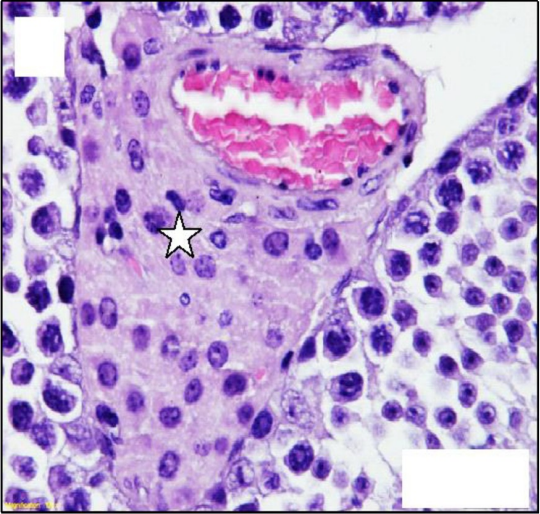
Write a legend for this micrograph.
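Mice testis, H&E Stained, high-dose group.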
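The space between seminiferous tubules is filled with a large cluster of interstitial cells lying beside a blood vessel. The interstitial cells are polygonal, with round, centrally placed nuclei and abundant pale pink, finely granular cytoplasm, and they are packed closely together. On either side, parts of tubules show germ cells with round, dark-purple nuclei.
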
